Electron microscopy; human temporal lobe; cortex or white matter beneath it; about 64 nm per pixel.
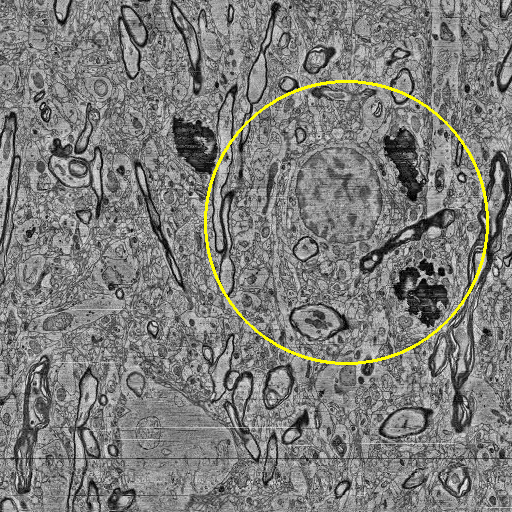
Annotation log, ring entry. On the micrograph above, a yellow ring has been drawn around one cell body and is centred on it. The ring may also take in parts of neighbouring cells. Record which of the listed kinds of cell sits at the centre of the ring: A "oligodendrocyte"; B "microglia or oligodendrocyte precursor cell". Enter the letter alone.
A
